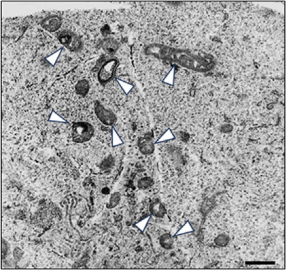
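The organelles are scattered through a finely granular cytoplasm. Many are rounded or irregular in outline, and several have pale, cleared centres surrounded by a dark rim, giving them a ring-like look. Regular cristae are hard to make out in most of them. One longer mitochondrion keeps a more elongated form. Thin membrane profiles run between the organelles. No nucleus is included in this field, so the view is of cytoplasm alone.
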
